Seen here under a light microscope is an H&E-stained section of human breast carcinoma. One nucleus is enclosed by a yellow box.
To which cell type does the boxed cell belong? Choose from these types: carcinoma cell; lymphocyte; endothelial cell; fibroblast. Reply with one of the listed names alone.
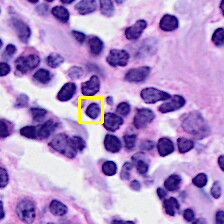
lymphocyte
